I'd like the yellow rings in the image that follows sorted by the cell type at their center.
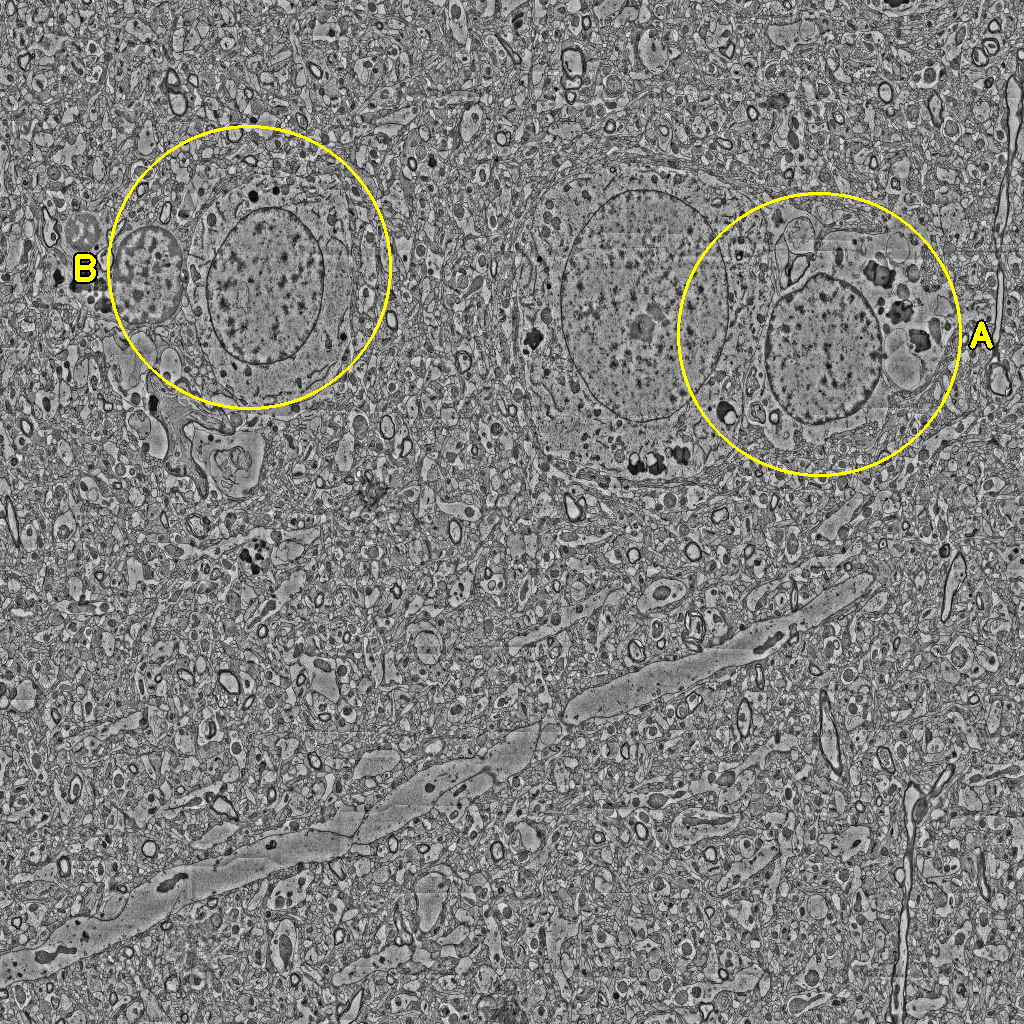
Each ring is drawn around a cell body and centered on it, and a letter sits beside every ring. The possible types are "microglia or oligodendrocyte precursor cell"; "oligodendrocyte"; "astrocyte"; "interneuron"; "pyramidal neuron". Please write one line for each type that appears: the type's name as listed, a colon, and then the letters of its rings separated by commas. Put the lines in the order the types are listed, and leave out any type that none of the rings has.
astrocyte: A
pyramidal neuron: B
